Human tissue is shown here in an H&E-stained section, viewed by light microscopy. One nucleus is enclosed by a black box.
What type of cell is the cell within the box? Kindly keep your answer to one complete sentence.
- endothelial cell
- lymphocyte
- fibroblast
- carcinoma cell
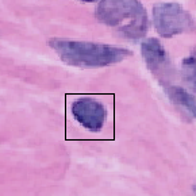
In cellular terms, the cell within the box is a lymphocyte.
